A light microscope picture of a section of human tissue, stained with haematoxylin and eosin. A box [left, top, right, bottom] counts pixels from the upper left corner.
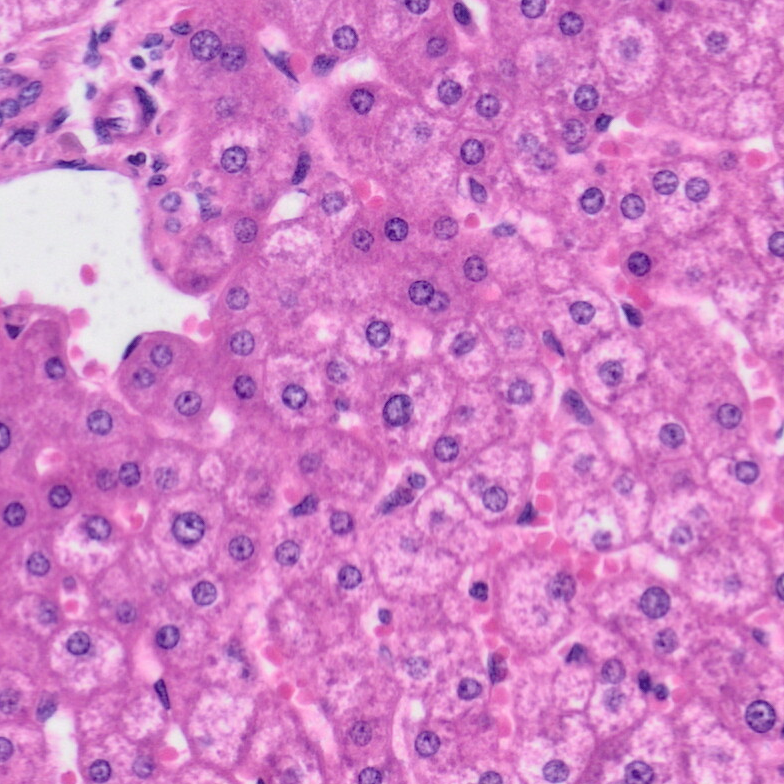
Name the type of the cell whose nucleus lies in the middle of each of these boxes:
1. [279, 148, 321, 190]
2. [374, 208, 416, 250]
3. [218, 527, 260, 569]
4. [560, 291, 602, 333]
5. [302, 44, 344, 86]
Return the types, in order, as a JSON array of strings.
["fibroblast or stellate cell", "hepatocyte", "hepatocyte", "hepatocyte", "fibroblast or stellate cell"]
